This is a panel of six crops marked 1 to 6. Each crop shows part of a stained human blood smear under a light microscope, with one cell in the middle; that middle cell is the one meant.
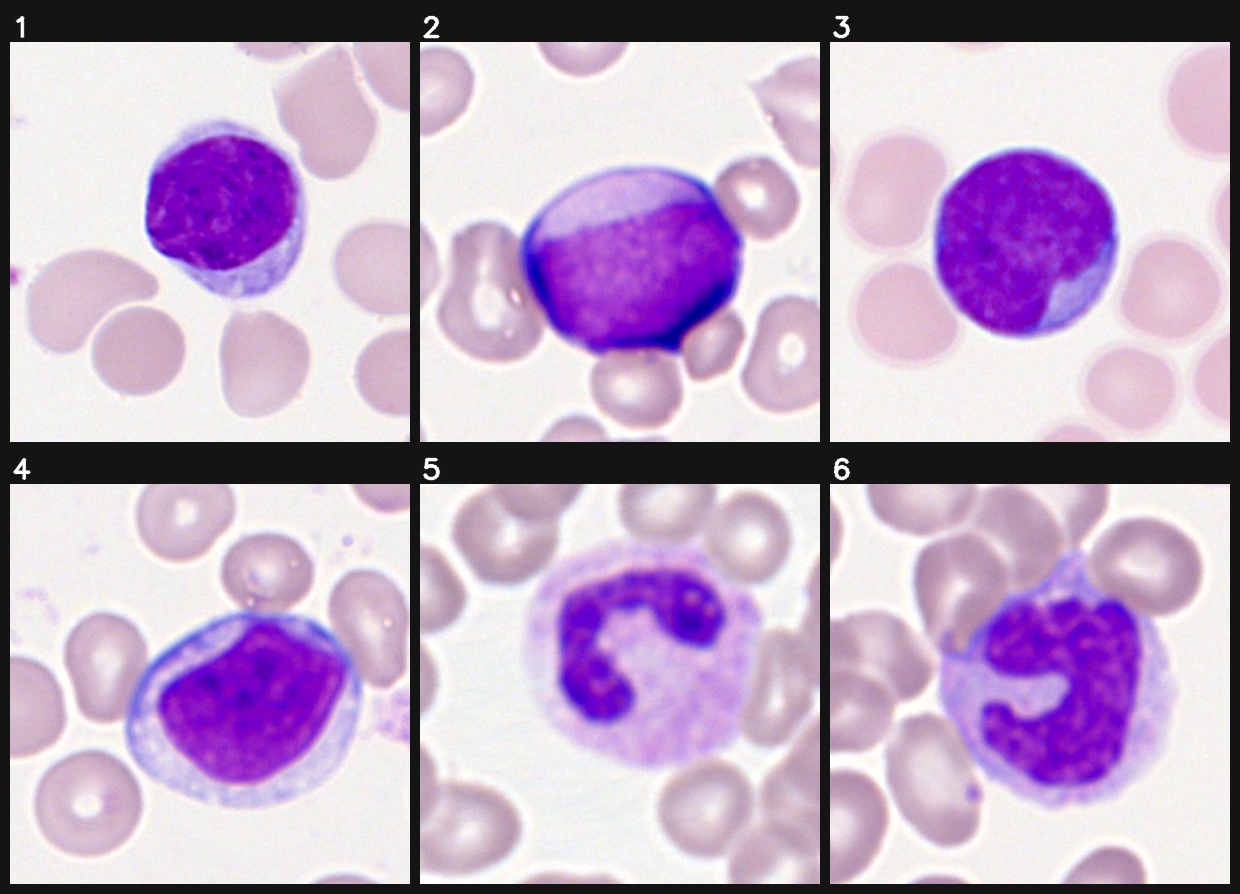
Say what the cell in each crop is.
1: lymphocyte
2: myeloblast
3: myeloblast
4: myeloblast
5: band neutrophil
6: monocyte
